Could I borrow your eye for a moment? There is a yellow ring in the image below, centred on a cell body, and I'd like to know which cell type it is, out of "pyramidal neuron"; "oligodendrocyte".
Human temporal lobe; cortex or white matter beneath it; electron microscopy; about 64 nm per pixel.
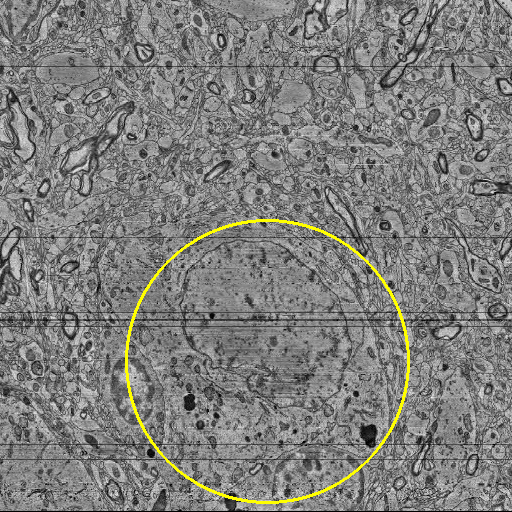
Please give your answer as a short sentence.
The cell body at the centre is that of a pyramidal neuron.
